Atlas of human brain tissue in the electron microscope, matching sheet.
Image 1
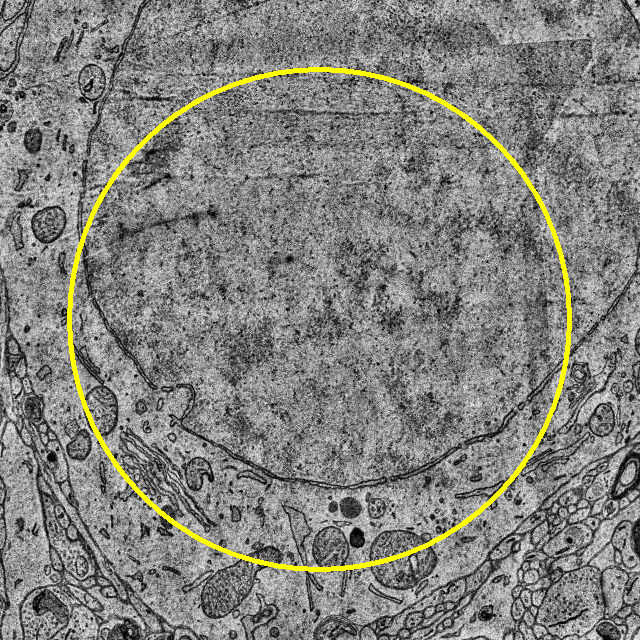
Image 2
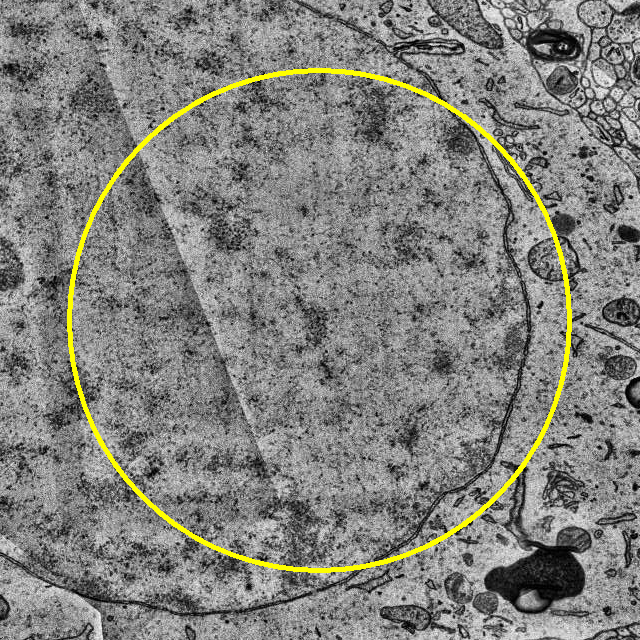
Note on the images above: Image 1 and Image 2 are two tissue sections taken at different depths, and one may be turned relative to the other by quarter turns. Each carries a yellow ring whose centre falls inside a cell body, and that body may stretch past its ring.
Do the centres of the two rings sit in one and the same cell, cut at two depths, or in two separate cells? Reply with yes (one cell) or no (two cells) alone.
yes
